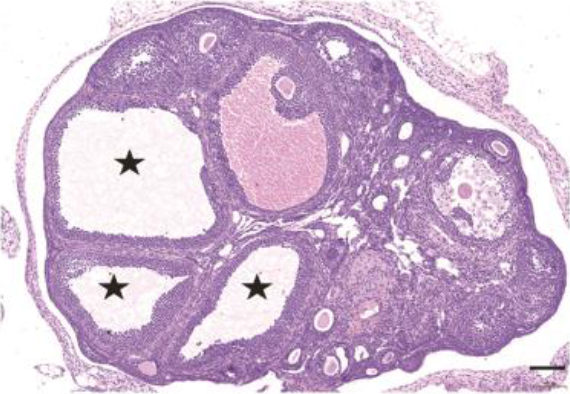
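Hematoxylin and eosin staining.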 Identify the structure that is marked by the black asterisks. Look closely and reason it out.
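Each asterisk lies in a large, pale, empty cavity. No oocyte is seen within the marked cavities.
Conclusion: cystic follicles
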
